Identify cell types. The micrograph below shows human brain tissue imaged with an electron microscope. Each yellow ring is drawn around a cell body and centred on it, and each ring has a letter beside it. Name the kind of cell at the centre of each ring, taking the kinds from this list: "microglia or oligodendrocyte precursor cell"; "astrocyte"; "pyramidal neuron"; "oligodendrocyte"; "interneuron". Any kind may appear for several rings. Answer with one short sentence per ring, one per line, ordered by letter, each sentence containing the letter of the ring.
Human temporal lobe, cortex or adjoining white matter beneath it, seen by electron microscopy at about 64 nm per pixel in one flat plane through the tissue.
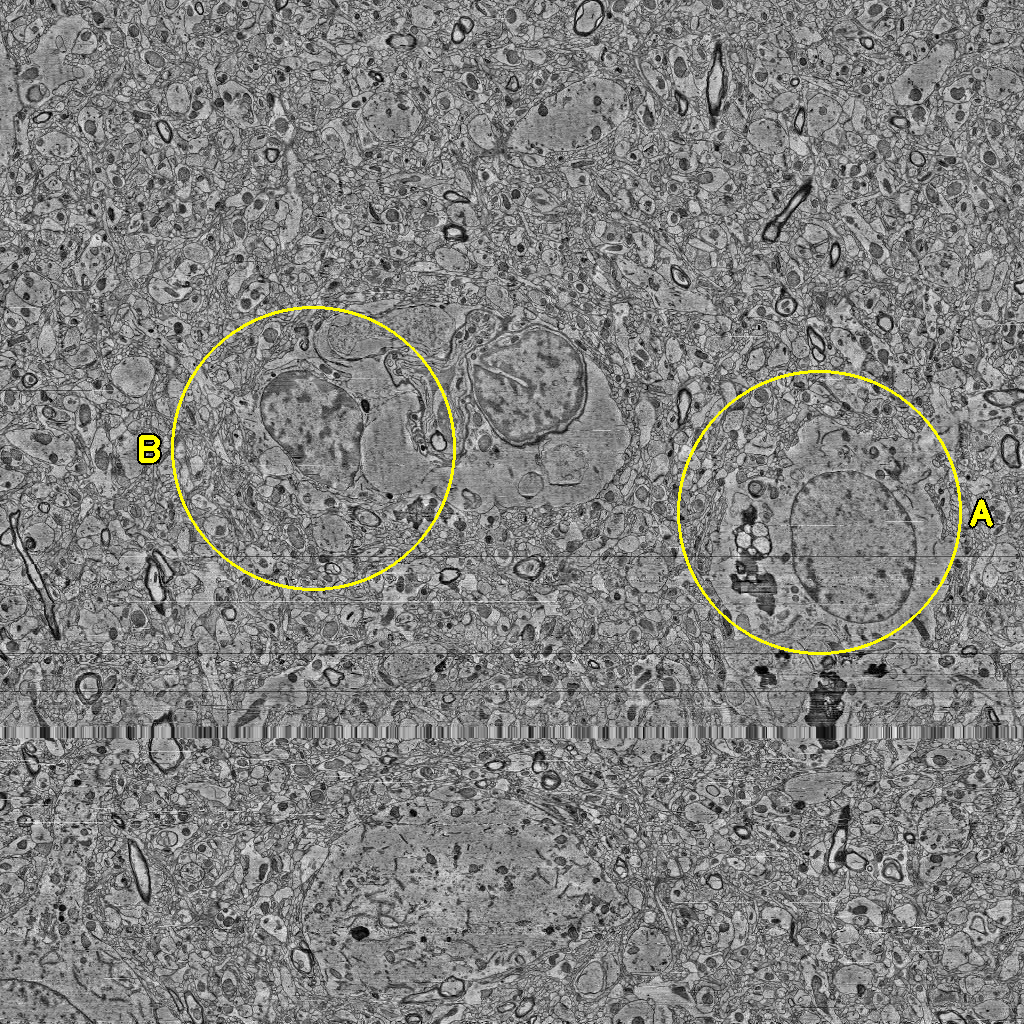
Ring A marks an astrocyte.
Ring B marks a microglial cell or oligodendrocyte precursor cell.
